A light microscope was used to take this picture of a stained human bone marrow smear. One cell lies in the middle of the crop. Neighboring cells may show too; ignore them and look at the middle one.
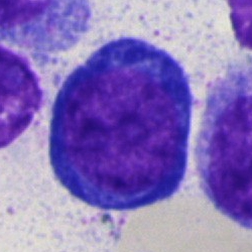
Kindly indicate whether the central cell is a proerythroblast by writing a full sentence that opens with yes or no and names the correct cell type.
Yes, the cell occupying the middle of the crop is a proerythroblast.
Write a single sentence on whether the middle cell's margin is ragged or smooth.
Smooth outline, no projections: that is the whole story of its edge.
